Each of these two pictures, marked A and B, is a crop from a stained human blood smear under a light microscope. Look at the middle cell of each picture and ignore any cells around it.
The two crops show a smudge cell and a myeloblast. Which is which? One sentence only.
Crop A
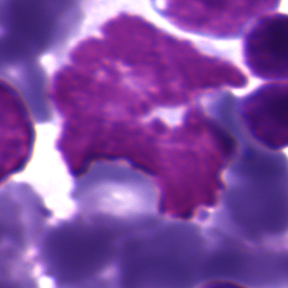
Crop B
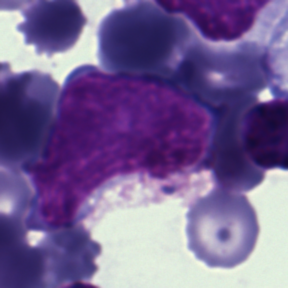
The cell in crop A is a smudge cell, whereas the cell in crop B is a myeloblast.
